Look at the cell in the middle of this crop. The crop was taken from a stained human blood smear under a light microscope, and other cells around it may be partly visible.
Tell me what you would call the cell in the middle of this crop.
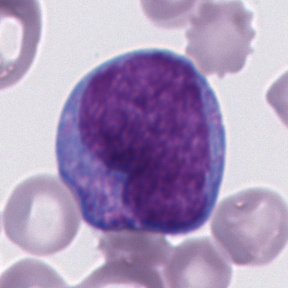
promyelocyte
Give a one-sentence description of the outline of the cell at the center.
Worth noting that the cell border is smooth and lacks projections.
